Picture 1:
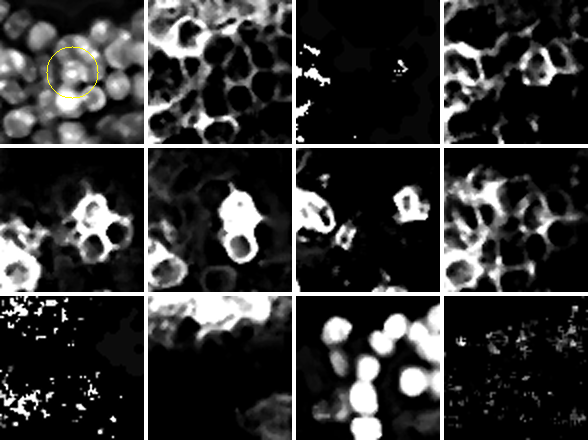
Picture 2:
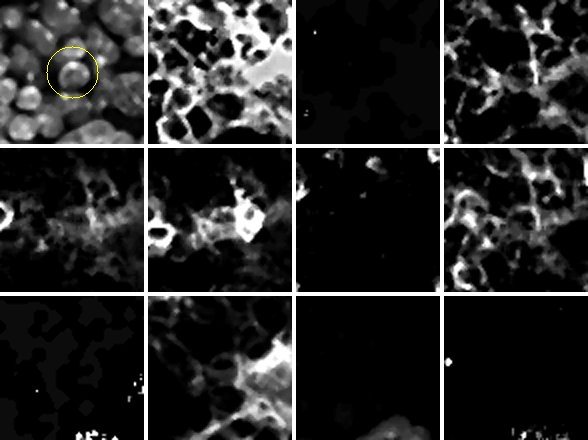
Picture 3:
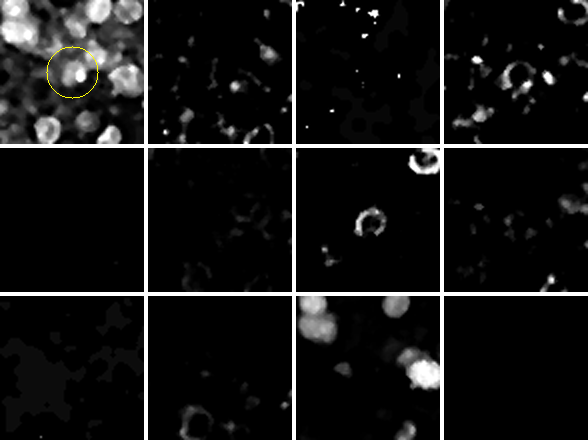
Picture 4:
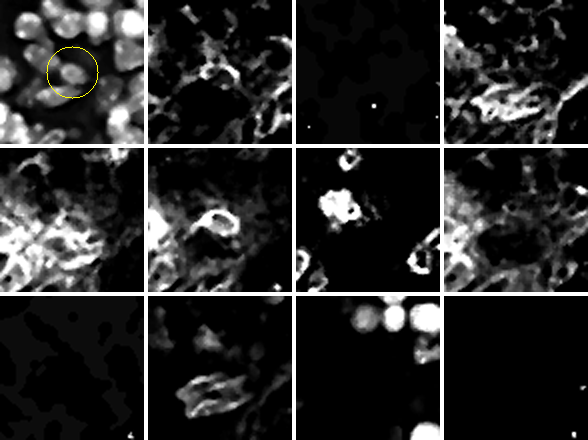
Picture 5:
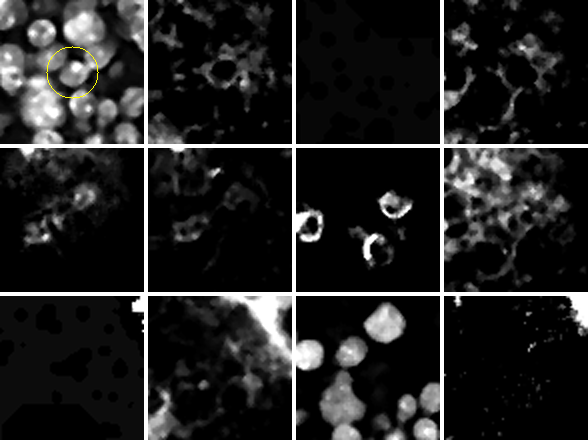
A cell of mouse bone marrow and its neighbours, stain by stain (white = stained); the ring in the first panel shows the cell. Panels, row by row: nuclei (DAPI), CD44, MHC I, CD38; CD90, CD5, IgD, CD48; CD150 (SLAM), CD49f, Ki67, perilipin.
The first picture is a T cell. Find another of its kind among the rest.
Picture 4.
